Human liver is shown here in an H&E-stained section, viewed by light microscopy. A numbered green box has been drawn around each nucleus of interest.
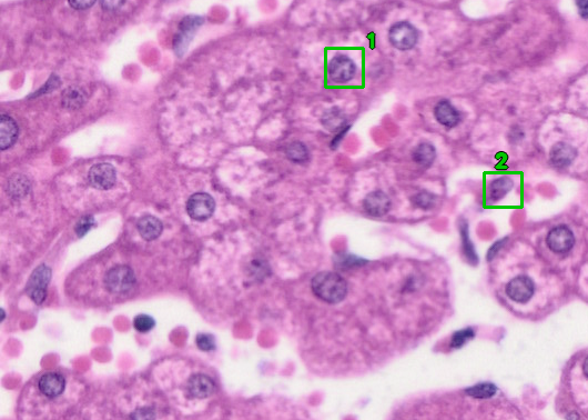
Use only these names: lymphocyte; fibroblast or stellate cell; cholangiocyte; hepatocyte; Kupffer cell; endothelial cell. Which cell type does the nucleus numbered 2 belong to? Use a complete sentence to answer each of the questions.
Within this field of view, the cell labelled 2 is a Kupffer cell.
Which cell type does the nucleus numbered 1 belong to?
The cell indicated by marker 1 is a hepatocyte in this section.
